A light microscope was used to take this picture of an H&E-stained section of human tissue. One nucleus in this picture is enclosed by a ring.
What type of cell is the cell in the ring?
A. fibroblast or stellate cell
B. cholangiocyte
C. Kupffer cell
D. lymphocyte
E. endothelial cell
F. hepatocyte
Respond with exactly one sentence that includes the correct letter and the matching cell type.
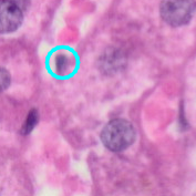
Option D holds, since the cell in the ring is a lymphocyte.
